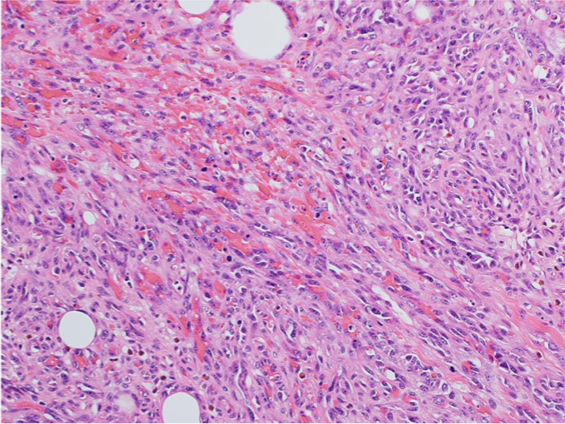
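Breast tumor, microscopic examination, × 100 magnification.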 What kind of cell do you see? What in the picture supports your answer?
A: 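Spindle-shaped cells. Many cells have elongated, tapered nuclei. The cells are packed in sweeping fascicles.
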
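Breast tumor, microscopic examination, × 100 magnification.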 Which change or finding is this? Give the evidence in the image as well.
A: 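Bright red erythrocytes lie in streaks between the tumor cells.
Answer: hemorrhagic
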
